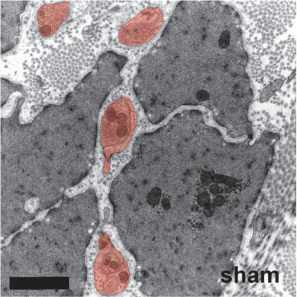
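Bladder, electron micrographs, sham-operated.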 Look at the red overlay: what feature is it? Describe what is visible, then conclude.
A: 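Neural varicosities. Several small rounded profiles, shaded red, lie in the narrow spaces between larger electron-dense cells. The red profiles are much smaller than the surrounding cells and contain small organelle-like profiles.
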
